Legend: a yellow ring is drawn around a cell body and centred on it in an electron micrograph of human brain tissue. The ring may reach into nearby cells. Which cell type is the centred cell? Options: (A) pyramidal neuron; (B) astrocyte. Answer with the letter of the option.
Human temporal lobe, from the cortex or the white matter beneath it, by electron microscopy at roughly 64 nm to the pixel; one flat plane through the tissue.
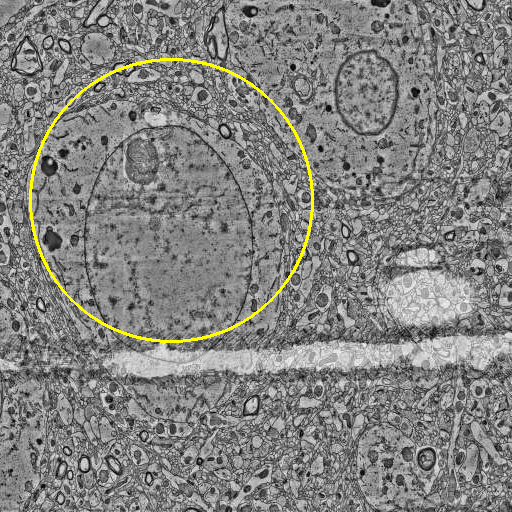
A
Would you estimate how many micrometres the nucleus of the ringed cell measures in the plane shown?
In this plane the nucleus measures roughly 15 by 11 micrometres.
